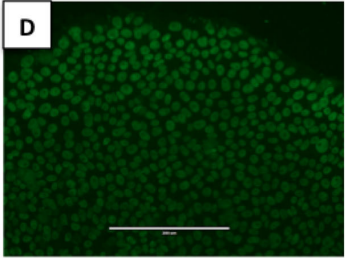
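The cells are packed closely side by side in a single uniform sheet with no gaps of note. Each cell shows a round to oval nucleus that glows evenly green, while the thin rims between the nuclei stay darker, so the cytoplasm appears scant and the nuclei large relative to the cells. The nuclei are of similar size throughout, giving the colony a homogeneous, cobblestone-like pattern.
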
